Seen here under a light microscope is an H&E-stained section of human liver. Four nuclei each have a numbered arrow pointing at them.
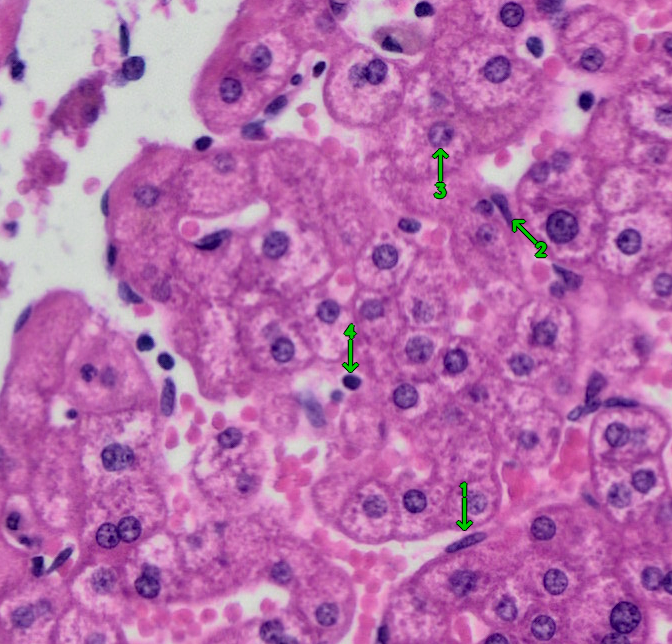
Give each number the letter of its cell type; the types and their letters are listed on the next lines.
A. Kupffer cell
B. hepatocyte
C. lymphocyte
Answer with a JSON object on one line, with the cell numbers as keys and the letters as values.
{"1": "A", "2": "A", "3": "B", "4": "C"}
